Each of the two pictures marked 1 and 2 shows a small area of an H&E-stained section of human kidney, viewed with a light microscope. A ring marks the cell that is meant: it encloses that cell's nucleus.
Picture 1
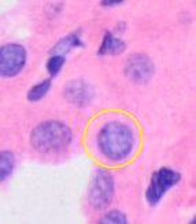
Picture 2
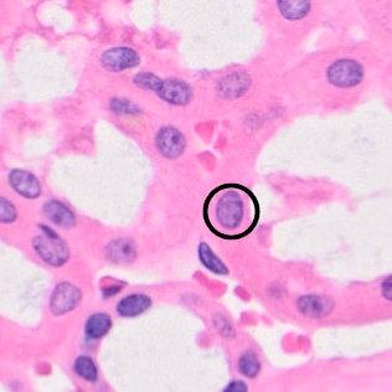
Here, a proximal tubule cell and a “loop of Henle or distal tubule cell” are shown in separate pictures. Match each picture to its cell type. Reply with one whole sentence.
Picture 1 is of a “loop of Henle or distal tubule cell”, and picture 2 is of a proximal tubule cell.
